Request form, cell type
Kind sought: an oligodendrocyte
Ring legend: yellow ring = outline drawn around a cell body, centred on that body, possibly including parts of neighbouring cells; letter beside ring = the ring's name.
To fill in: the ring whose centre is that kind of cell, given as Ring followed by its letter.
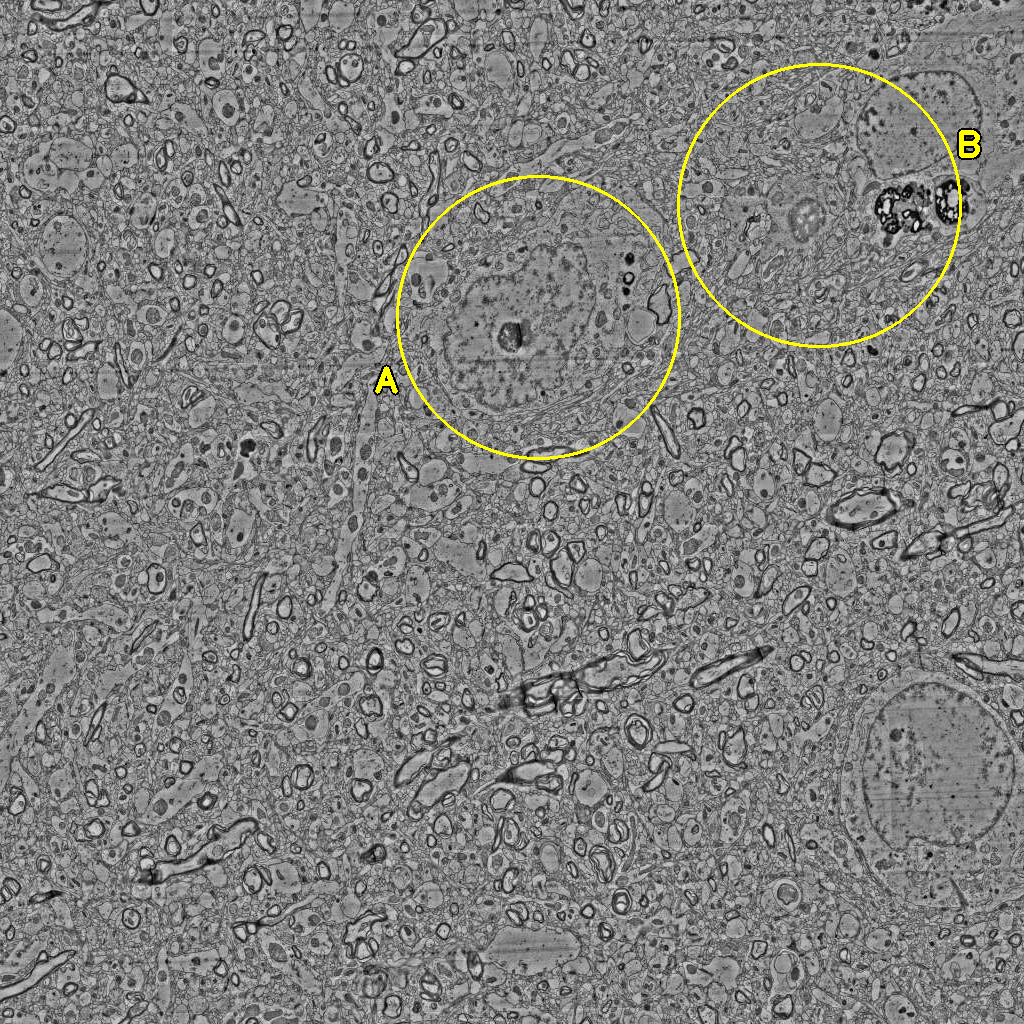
Ring B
